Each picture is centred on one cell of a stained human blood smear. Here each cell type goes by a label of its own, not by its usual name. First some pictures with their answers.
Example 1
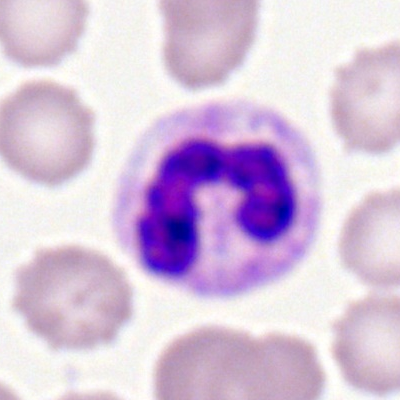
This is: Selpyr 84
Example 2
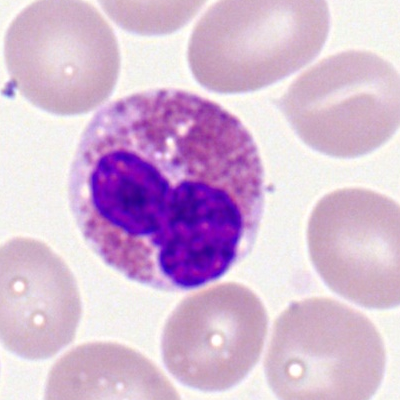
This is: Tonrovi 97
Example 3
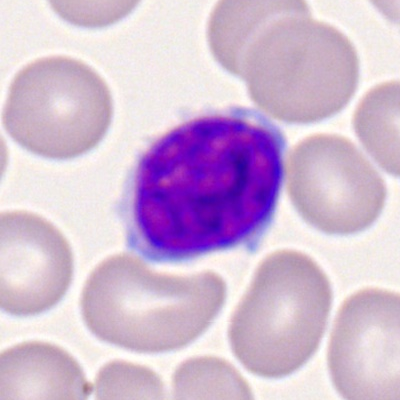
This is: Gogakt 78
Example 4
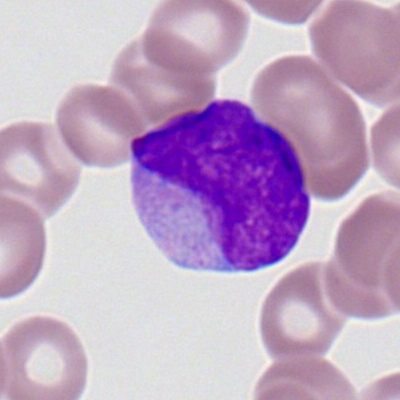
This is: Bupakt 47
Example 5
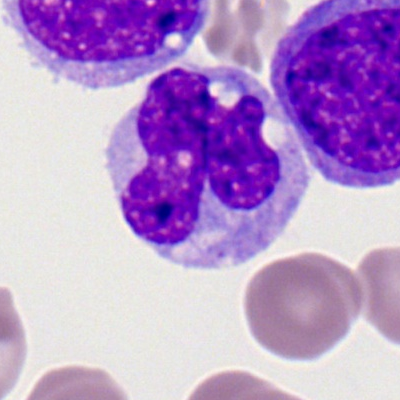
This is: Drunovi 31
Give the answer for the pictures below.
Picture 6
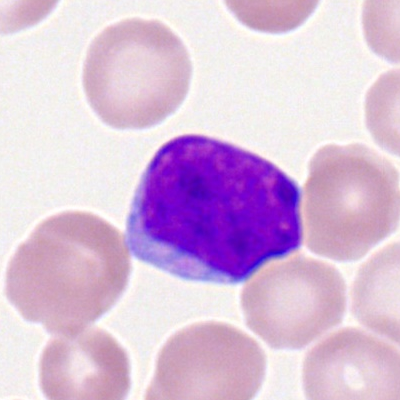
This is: Bupakt 47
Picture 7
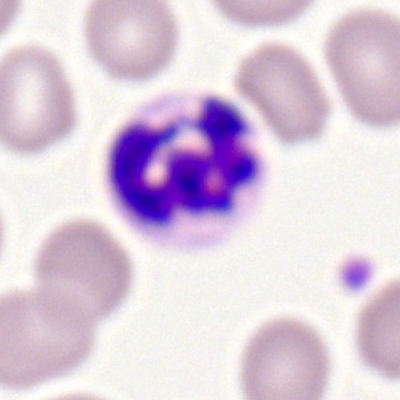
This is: Selpyr 84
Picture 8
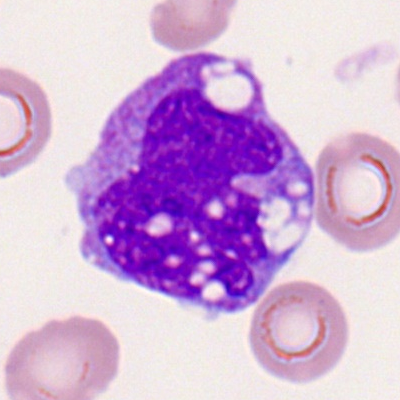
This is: Drunovi 31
